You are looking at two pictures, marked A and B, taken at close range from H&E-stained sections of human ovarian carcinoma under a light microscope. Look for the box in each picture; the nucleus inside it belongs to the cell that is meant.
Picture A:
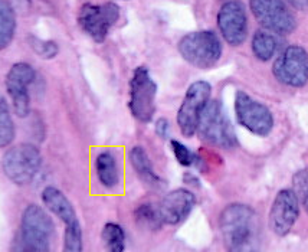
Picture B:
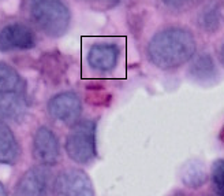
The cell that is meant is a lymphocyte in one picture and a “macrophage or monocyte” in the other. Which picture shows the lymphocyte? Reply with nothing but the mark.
A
